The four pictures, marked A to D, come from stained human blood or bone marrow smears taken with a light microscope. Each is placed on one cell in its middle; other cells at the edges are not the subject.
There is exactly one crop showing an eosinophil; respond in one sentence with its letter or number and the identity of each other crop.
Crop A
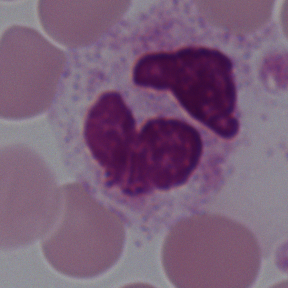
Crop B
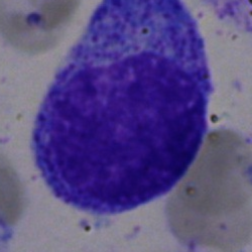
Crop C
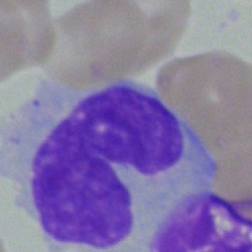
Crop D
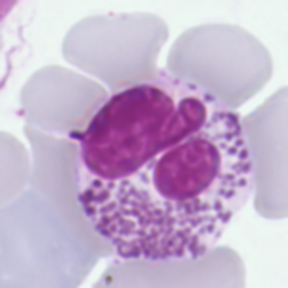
Crop D should be logged as an eosinophil, while crop A is a segmented neutrophil, crop B is a promyelocyte and crop C is a monocyte.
